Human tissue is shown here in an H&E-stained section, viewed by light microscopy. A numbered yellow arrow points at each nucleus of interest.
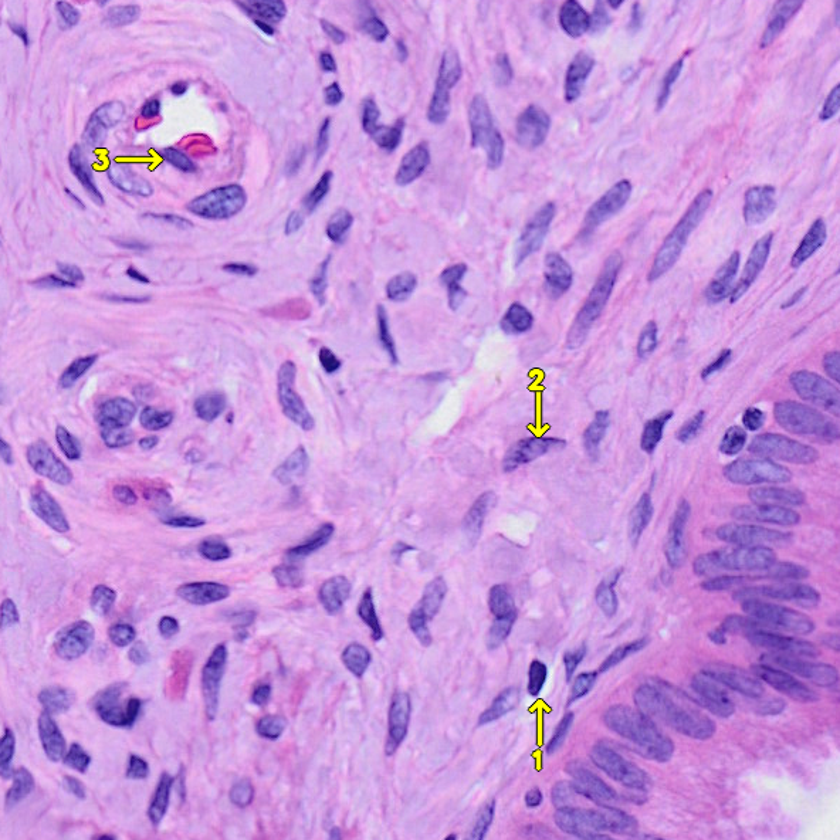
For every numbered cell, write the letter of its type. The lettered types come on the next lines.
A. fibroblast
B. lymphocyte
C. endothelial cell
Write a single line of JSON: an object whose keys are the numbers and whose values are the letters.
{"1": "B", "2": "A", "3": "C"}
